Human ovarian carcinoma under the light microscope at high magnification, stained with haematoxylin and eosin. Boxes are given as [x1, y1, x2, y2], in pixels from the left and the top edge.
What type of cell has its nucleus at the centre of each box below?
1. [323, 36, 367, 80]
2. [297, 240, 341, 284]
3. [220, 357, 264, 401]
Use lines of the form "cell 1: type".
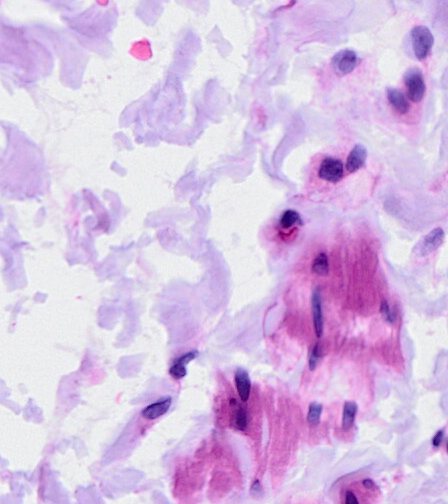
cell 1: fibroblast
cell 2: smooth muscle cell
cell 3: smooth muscle cell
